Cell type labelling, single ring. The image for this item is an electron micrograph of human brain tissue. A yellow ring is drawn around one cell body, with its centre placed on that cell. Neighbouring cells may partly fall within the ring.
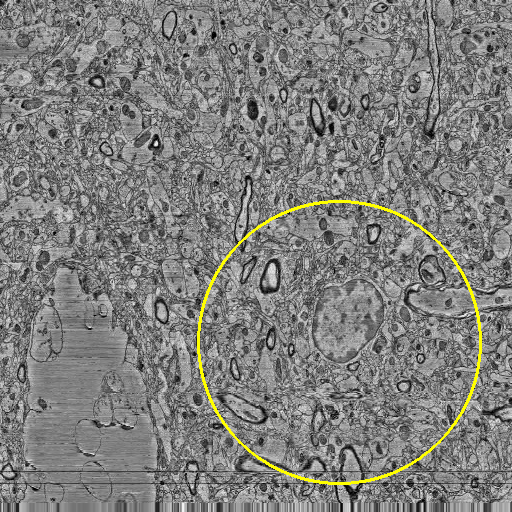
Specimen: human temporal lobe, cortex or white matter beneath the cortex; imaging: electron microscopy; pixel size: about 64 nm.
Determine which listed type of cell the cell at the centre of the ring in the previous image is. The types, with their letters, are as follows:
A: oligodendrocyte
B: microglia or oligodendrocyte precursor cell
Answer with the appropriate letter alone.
B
